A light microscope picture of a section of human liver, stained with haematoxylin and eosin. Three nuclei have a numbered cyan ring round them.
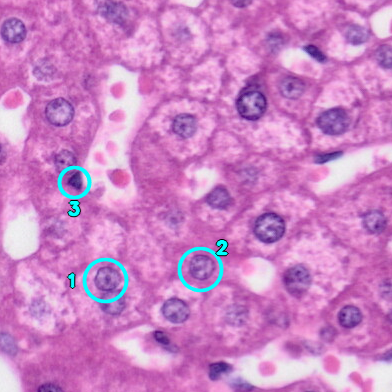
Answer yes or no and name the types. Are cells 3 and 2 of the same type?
No, cell number 3 is a fibroblast or stellate cell and cell number 2 is a hepatocyte.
